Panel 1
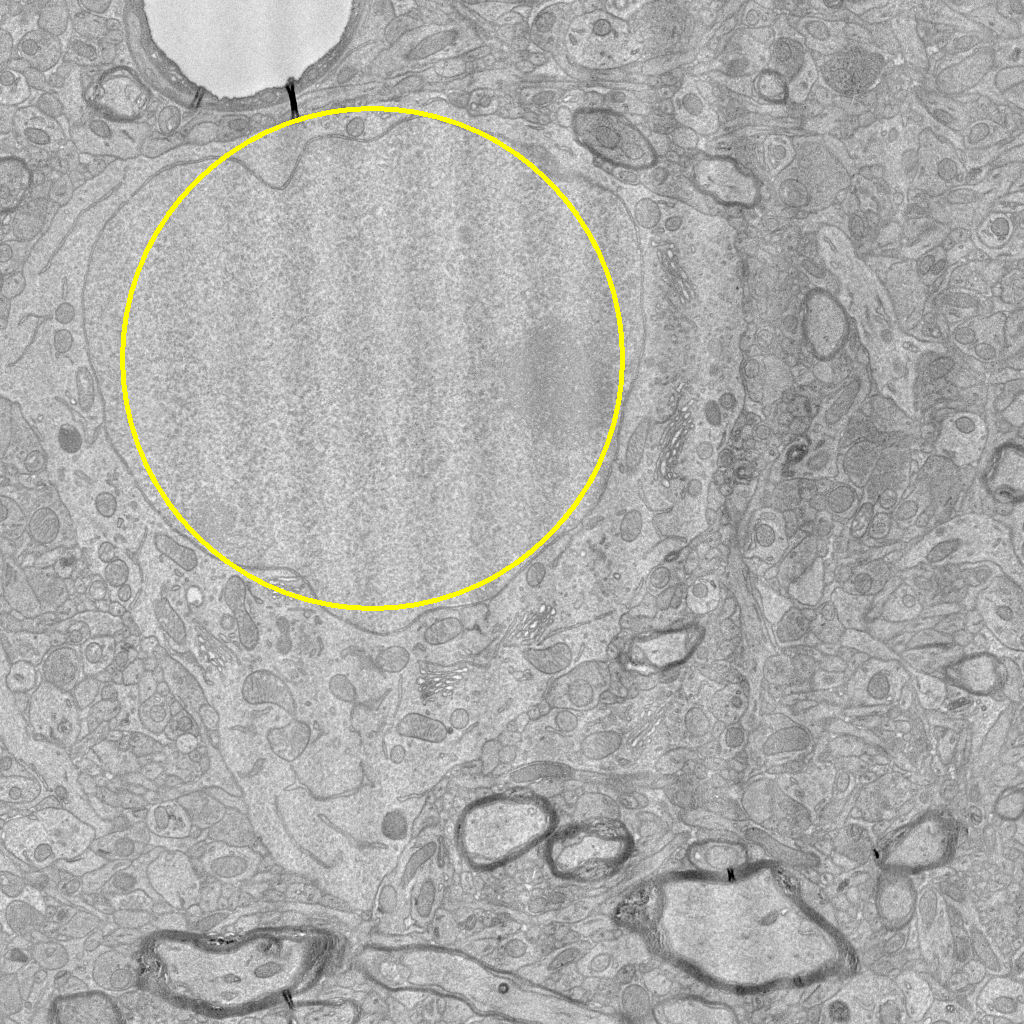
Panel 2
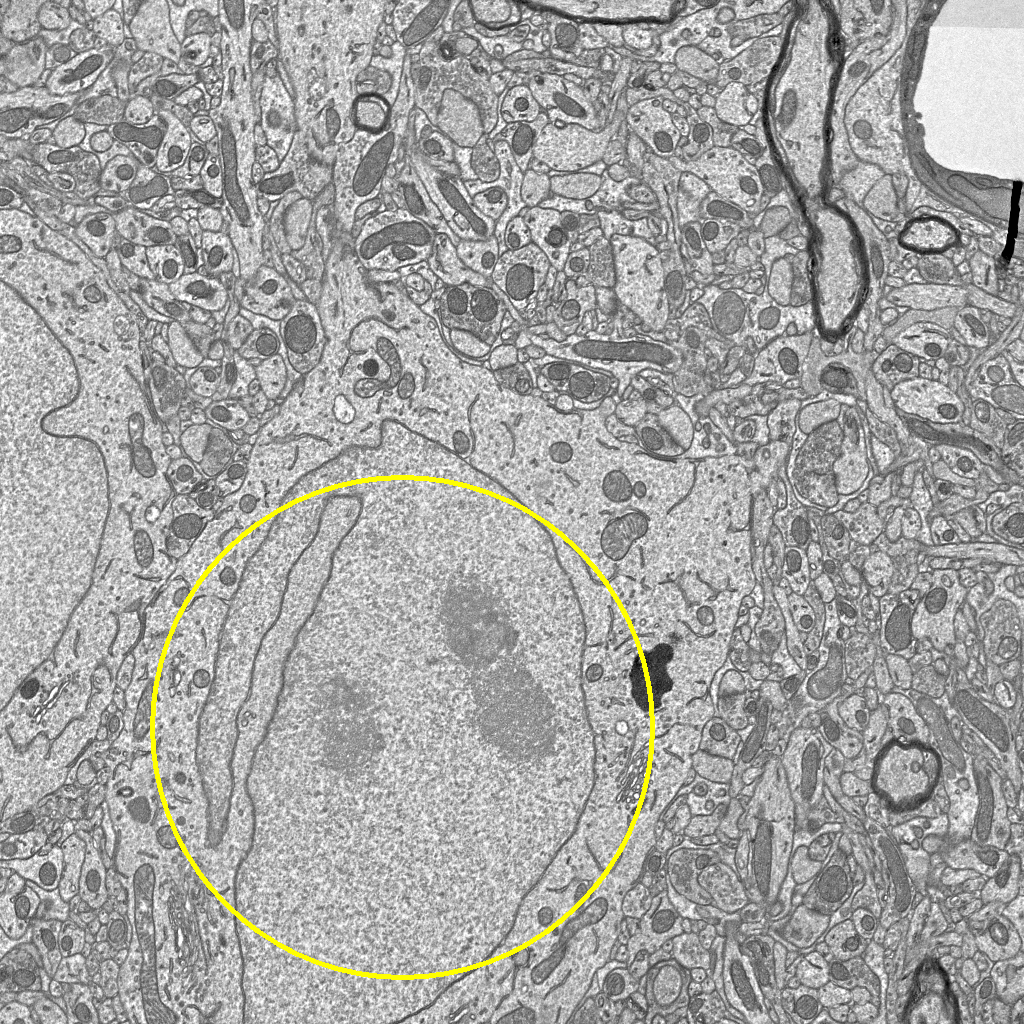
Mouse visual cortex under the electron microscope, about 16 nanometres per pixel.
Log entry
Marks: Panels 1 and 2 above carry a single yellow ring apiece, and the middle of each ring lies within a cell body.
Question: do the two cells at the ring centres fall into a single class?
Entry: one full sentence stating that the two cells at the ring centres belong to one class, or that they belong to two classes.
The two cells at the ring centres in Panels 1 and 2 belong to one class.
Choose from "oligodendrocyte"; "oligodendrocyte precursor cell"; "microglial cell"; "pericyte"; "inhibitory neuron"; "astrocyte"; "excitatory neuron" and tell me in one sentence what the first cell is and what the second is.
Each cell, in the first picture and the second, is an excitatory neuron.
